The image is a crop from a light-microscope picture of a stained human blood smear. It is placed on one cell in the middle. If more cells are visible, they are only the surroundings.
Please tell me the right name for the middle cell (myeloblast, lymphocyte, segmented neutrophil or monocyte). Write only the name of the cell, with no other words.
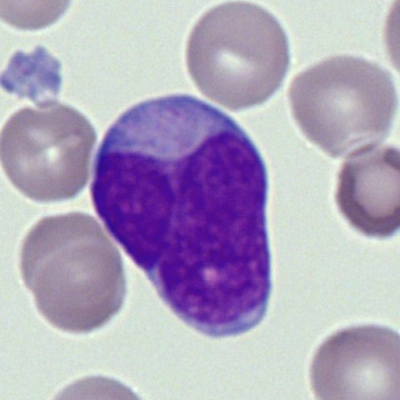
myeloblast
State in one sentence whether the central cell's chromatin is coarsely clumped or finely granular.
The key point is fine chromatin with no coarse clumps.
